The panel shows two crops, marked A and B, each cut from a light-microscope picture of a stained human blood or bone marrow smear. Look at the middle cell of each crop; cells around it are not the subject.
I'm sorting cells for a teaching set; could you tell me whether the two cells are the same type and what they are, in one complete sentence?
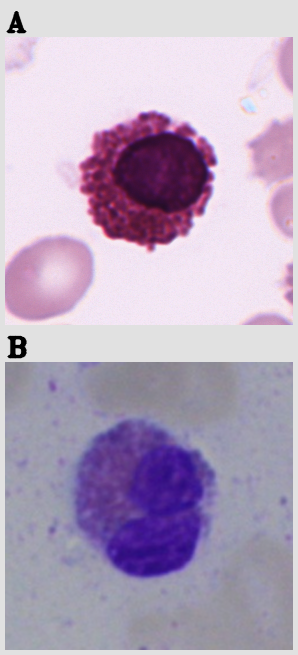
Yes, the cells of interest in both crops are eosinophils.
